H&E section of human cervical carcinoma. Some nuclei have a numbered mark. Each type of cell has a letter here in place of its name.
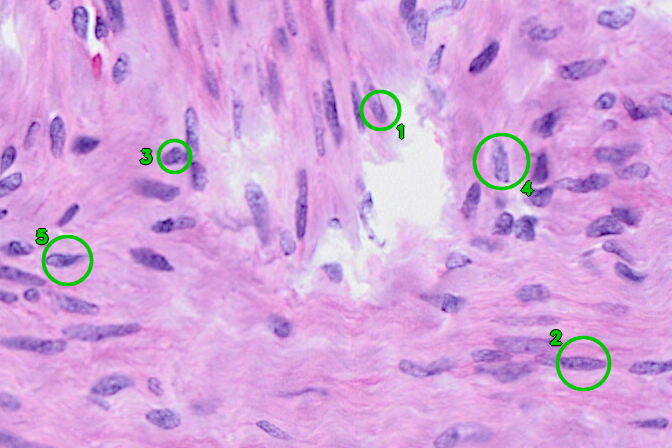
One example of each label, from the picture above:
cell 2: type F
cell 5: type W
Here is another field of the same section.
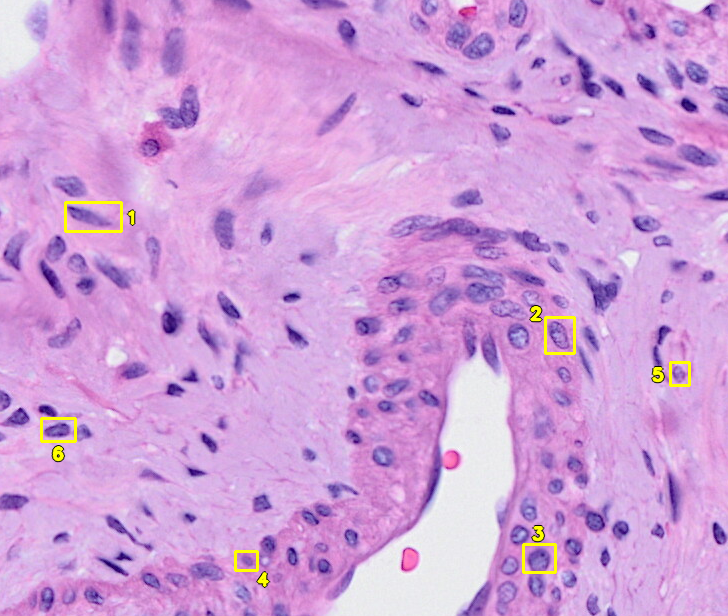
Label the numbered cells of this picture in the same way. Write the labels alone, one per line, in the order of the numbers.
type W
type F
type F
type F
type F
type W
